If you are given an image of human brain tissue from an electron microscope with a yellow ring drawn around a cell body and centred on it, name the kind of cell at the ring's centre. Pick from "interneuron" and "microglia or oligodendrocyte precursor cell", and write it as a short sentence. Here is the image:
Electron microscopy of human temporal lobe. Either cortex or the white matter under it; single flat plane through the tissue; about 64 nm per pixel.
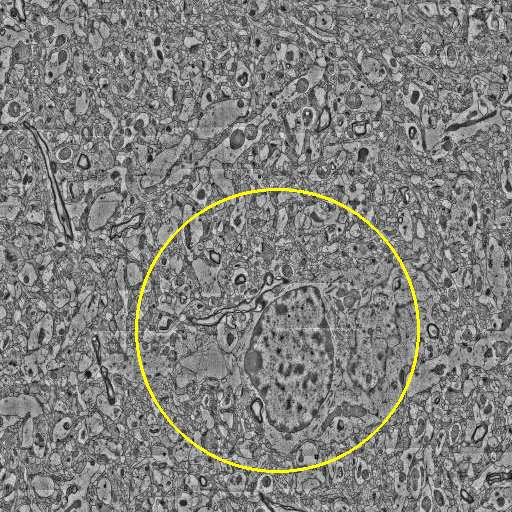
The cell at the ring's centre is a microglial cell or oligodendrocyte precursor cell.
